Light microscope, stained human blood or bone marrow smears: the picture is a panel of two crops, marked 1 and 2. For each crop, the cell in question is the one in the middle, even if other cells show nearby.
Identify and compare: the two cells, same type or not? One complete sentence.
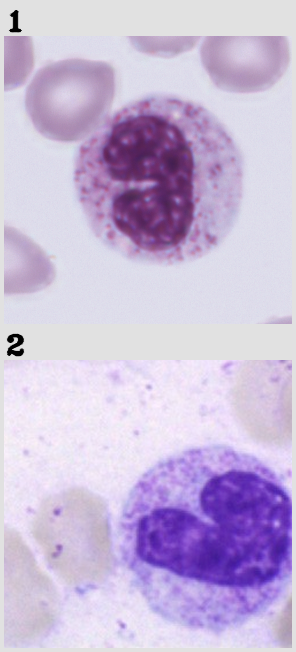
Yes, in short, both crops show band neutrophils.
